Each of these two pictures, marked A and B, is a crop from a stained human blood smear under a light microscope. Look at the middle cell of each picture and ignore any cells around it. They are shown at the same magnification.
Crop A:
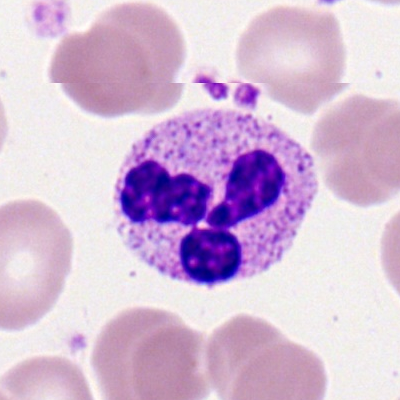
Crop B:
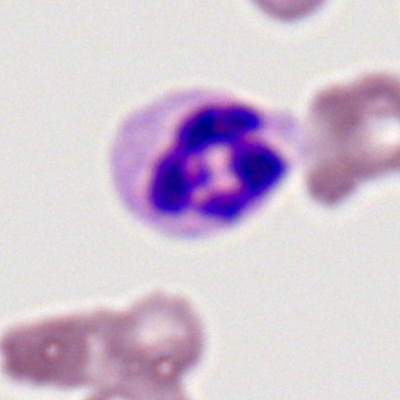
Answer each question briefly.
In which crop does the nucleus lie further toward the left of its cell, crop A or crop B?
A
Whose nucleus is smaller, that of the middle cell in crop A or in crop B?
B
